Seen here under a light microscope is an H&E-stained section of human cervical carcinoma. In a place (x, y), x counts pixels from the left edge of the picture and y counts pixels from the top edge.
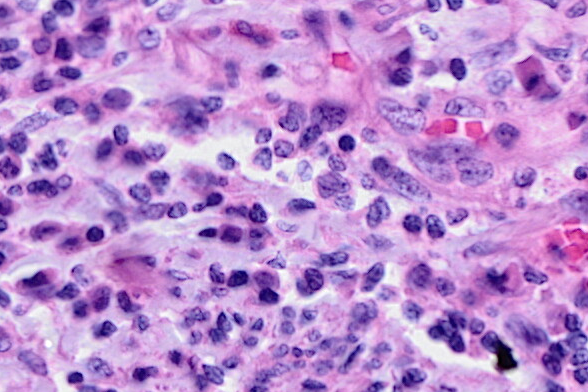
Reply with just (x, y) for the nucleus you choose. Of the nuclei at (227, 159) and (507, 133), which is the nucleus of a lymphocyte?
(227, 159)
